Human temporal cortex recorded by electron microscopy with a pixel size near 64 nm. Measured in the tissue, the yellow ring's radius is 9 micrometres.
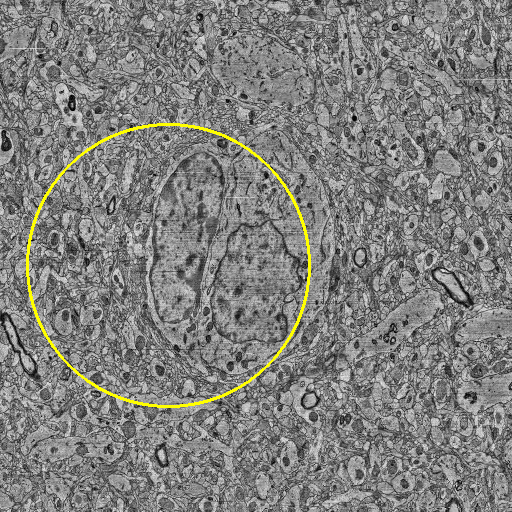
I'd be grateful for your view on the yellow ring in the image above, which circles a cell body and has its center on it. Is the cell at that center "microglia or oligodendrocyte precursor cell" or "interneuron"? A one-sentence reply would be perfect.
The cell at the center of the yellow ring is a microglial cell or oligodendrocyte precursor cell.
